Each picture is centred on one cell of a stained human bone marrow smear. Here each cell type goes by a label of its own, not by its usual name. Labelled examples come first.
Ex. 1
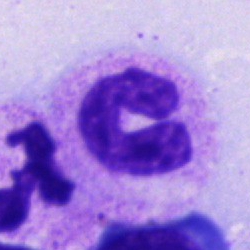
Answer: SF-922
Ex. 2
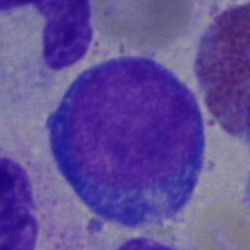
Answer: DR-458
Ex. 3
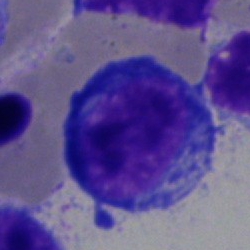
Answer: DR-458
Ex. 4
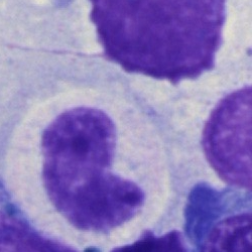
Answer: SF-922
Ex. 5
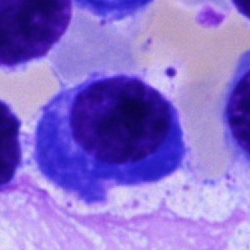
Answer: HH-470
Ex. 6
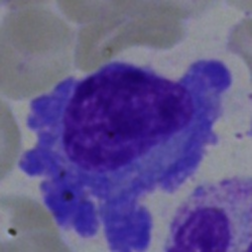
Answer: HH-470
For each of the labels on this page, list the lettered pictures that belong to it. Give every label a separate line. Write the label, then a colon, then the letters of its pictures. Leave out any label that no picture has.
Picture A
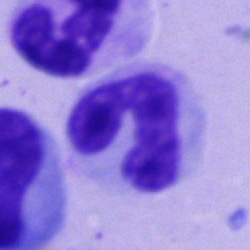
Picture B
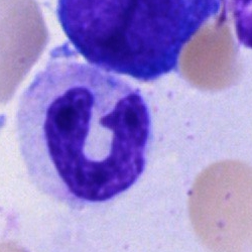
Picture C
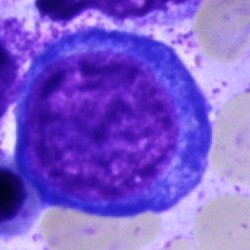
SF-922: A, B
DR-458: C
